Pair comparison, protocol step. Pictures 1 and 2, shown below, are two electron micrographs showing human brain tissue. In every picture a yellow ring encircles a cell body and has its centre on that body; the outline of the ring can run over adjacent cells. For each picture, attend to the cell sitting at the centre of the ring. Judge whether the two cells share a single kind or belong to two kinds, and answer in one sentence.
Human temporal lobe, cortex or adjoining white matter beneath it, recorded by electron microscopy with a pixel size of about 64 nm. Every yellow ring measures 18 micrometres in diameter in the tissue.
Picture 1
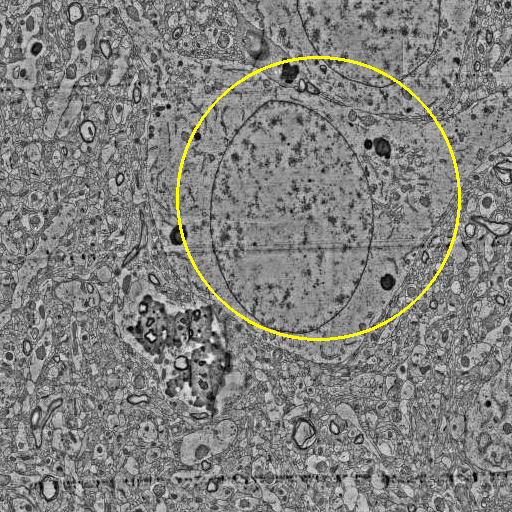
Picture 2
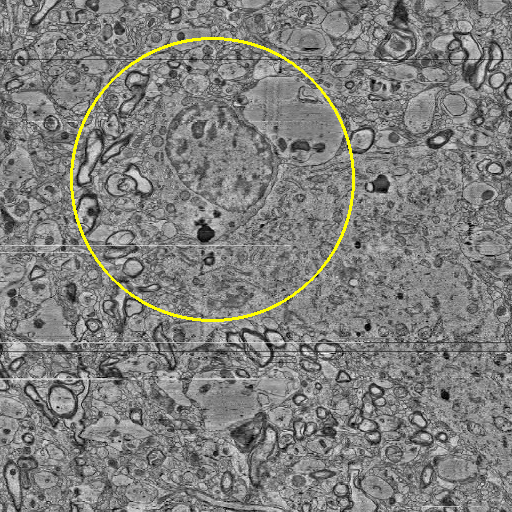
The two cells at the ring centres in Picture 1 and Picture 2 belong to two kinds.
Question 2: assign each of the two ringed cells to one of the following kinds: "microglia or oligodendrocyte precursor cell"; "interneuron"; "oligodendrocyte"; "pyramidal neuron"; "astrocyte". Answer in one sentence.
The two cells are a pyramidal neuron in the first picture and an oligodendrocyte in the second.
